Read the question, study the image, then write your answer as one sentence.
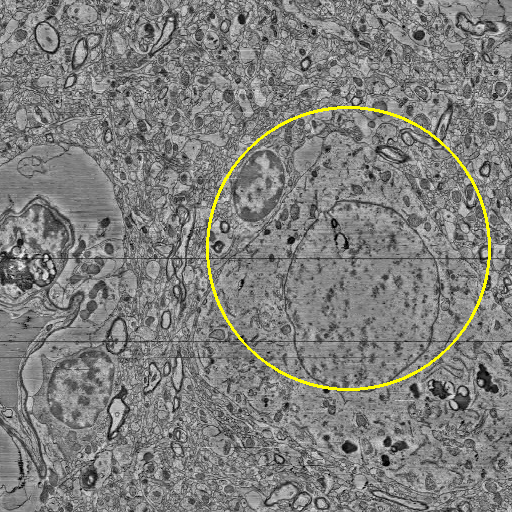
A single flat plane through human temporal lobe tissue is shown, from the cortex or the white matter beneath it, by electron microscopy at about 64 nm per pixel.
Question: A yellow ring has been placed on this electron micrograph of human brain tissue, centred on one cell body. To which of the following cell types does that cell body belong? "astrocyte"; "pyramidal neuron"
That cell body belongs to a pyramidal neuron.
